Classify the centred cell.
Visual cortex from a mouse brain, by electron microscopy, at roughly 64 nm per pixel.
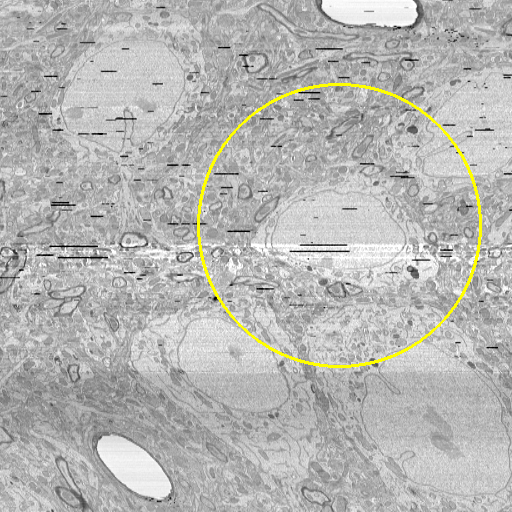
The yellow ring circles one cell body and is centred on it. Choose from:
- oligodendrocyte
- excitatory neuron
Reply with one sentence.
The ring is centred on an excitatory neuron.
